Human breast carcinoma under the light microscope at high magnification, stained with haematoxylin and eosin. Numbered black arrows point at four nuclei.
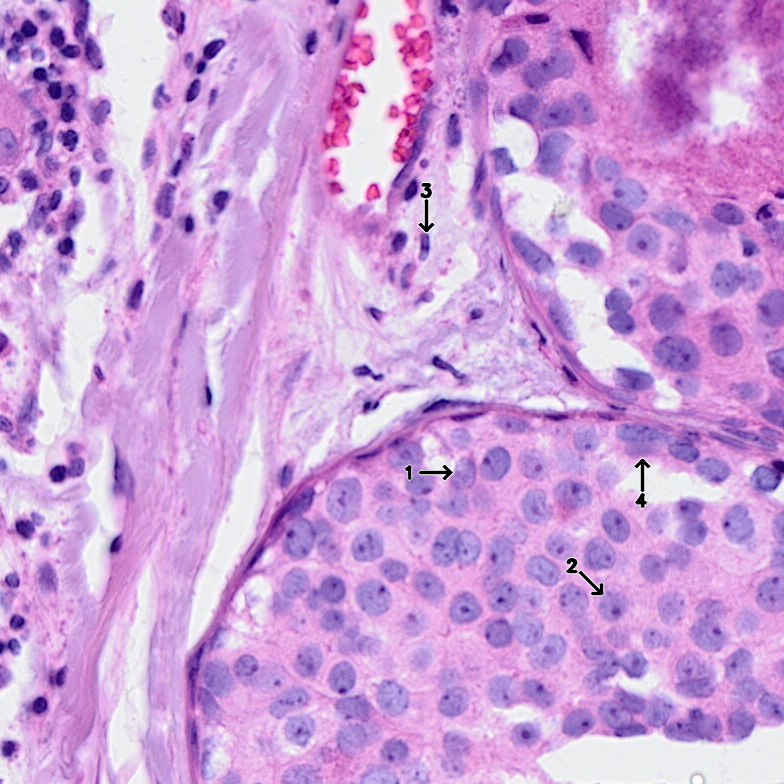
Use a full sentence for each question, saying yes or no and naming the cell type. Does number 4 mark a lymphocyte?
No, the cell bearing number 4 is not a lymphocyte but a carcinoma cell.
